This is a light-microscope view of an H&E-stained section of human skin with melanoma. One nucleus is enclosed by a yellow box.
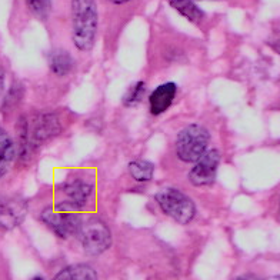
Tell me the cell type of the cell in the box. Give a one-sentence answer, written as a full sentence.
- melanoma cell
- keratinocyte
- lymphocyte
Typologically, the cell in the box is a melanoma cell in this section.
